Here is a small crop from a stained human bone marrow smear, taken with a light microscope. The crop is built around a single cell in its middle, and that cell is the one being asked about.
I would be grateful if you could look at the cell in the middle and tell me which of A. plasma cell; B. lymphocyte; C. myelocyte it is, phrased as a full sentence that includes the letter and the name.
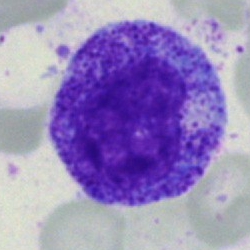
Option C correctly states that the central cell is a myelocyte.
